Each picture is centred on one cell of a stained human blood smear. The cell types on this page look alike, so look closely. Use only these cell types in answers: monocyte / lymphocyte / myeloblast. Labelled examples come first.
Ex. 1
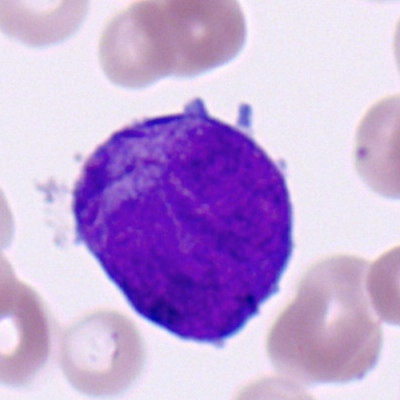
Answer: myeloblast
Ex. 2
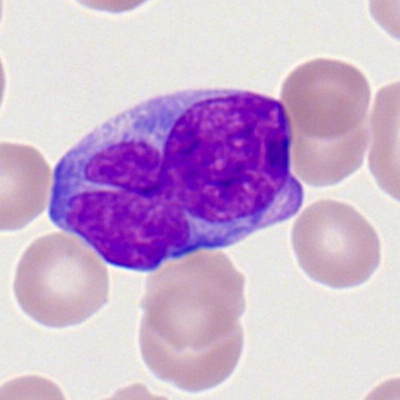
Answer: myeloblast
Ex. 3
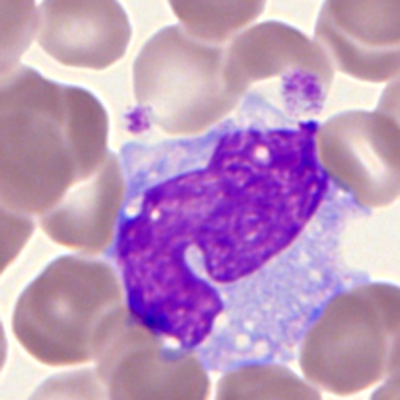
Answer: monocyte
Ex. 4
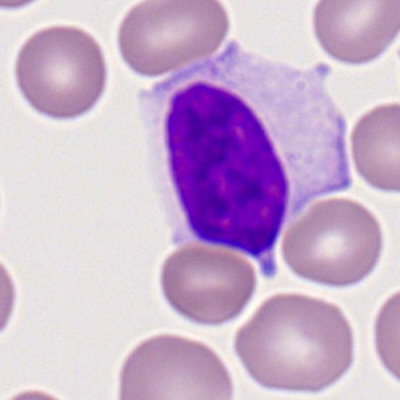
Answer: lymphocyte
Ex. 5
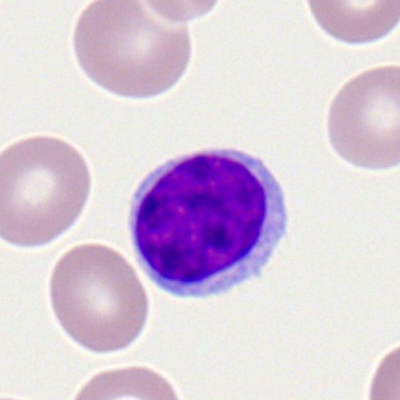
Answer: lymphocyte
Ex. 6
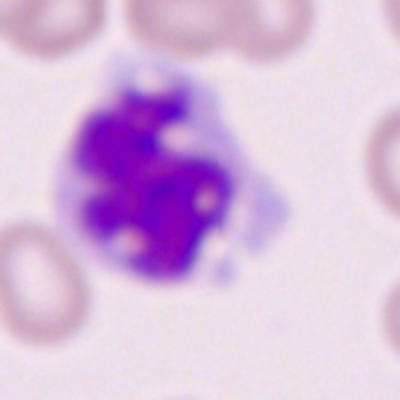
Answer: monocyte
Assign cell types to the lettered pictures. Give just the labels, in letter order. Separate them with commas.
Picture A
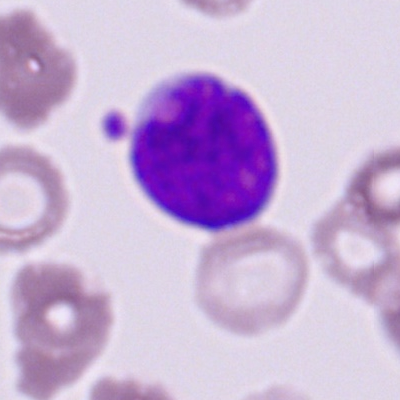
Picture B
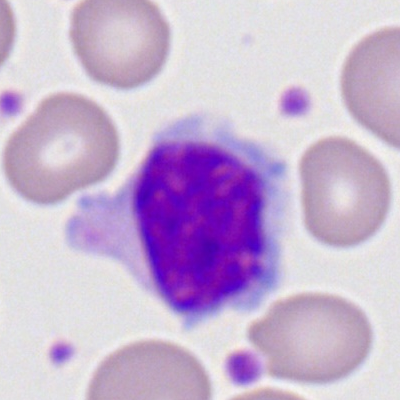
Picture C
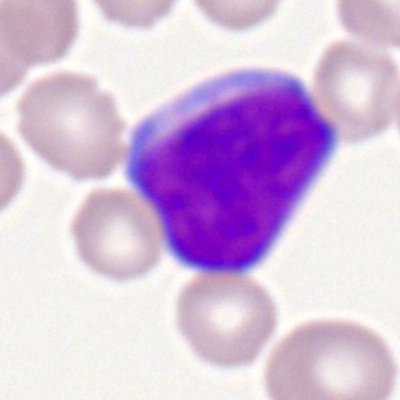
myeloblast, lymphocyte, myeloblast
